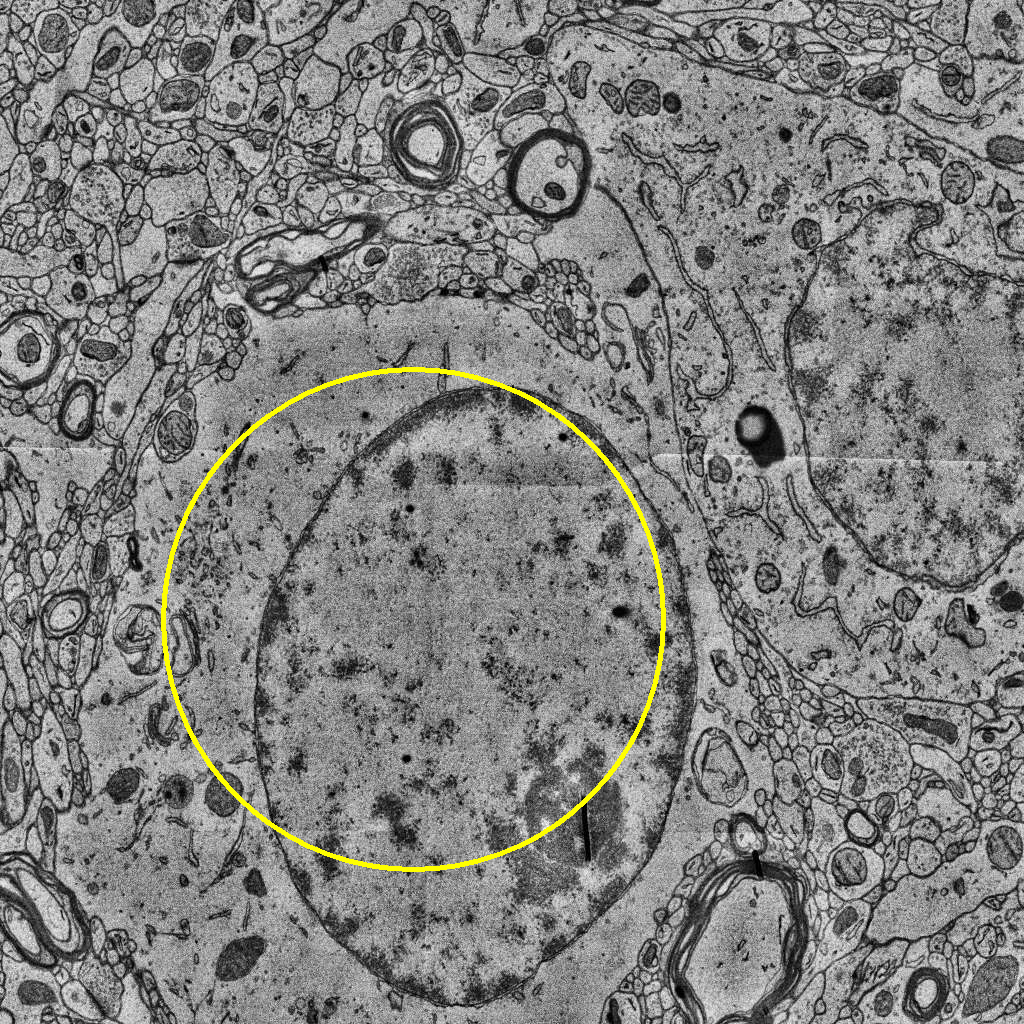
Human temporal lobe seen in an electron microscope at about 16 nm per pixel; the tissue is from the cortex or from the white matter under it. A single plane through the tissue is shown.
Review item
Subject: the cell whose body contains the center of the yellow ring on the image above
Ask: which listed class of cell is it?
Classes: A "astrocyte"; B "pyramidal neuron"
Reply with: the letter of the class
A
